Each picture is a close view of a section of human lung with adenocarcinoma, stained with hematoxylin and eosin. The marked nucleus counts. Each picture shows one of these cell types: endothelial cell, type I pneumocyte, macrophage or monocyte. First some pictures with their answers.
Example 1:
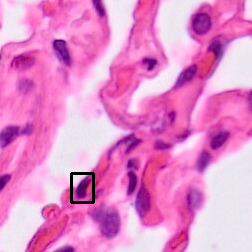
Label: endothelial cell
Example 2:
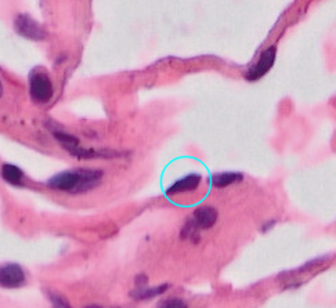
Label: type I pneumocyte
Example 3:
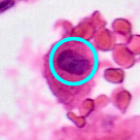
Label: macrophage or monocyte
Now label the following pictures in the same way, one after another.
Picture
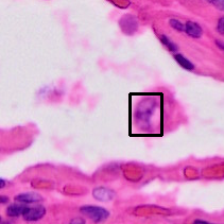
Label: macrophage or monocyte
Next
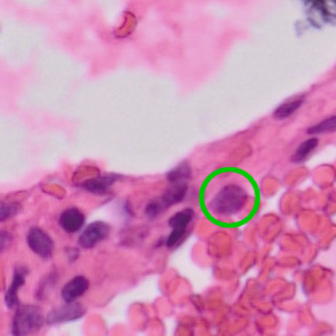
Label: type I pneumocyte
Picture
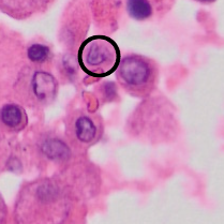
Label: macrophage or monocyte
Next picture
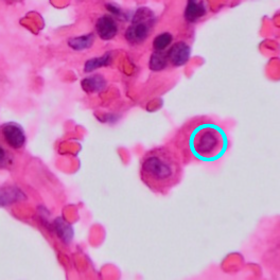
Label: macrophage or monocyte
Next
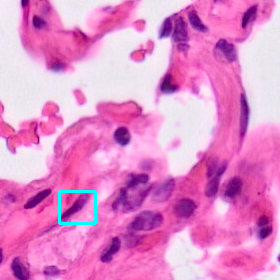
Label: endothelial cell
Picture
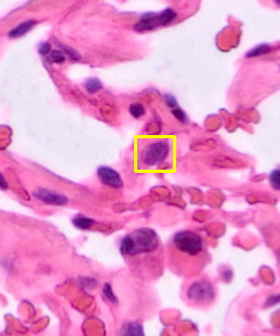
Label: type I pneumocyte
